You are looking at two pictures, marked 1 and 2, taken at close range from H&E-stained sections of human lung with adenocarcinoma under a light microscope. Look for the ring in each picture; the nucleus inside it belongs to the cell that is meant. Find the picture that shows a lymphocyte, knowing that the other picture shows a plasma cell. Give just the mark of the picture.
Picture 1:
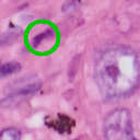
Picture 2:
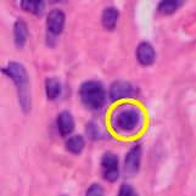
2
